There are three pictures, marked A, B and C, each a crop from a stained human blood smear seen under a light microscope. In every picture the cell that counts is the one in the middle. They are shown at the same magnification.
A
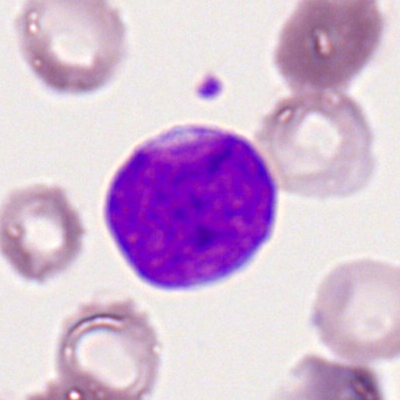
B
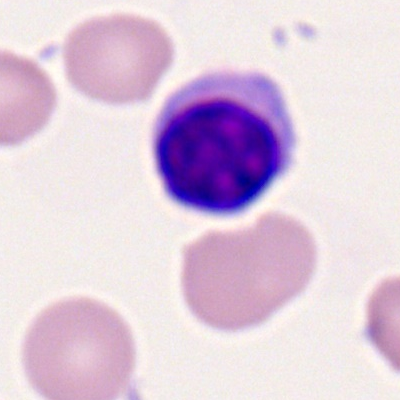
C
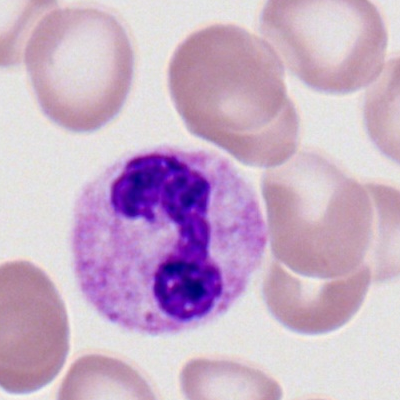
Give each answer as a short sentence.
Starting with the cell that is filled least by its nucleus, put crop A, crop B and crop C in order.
The least filled comes first: C, B, A.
